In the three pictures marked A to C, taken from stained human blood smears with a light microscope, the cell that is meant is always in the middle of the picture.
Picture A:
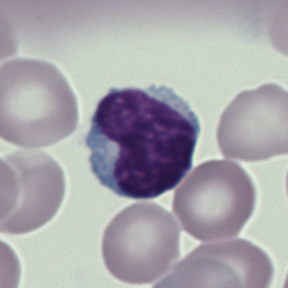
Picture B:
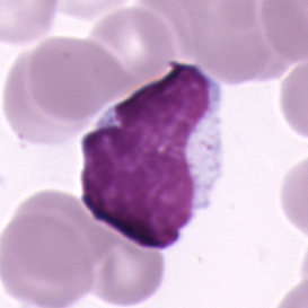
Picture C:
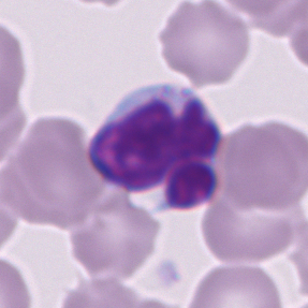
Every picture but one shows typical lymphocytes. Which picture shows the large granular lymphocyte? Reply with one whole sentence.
The picture with the large granular lymphocyte is B.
